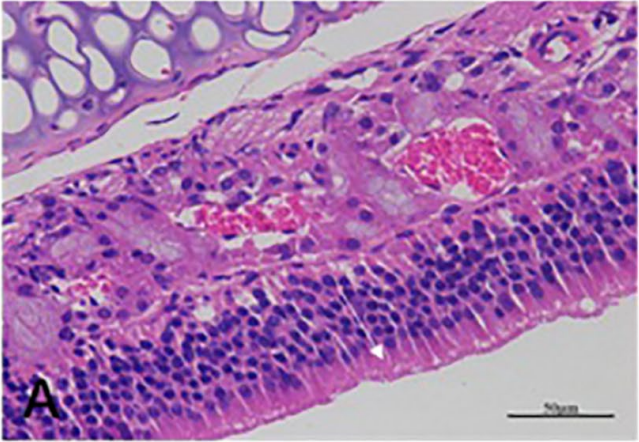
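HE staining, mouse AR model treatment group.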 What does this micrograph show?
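This is nasal mucosa stained pink and purple, lying between cartilage and the airway lumen. The cartilage at the upper left shows large pale lacunae in a purplish matrix. Below it, the connective tissue holds pale glandular clusters and wide blood vessels packed with bright red blood cells. The lower edge is a tall epithelium whose crowded dark nuclei stack at several levels, with pale pink columnar cytoplasm reaching up to a smooth apical surface facing the lumen. A white arrowhead marks a spot within this epithelium.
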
